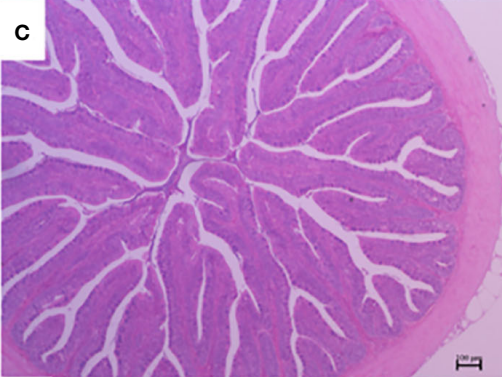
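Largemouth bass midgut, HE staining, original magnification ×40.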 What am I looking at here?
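A transverse section of a gut tube shows many long, slender mucosal folds radiating from a thin pink outer muscular wall toward a narrow, branching central lumen. The folds are lined by a purple-staining epithelium whose nuclei form a dense band, with thin pale cores between the two epithelial faces.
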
